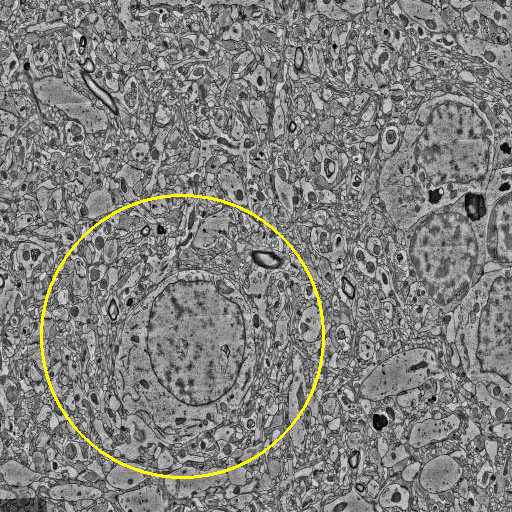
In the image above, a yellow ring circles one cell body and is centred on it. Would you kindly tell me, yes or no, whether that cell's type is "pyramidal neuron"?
yes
